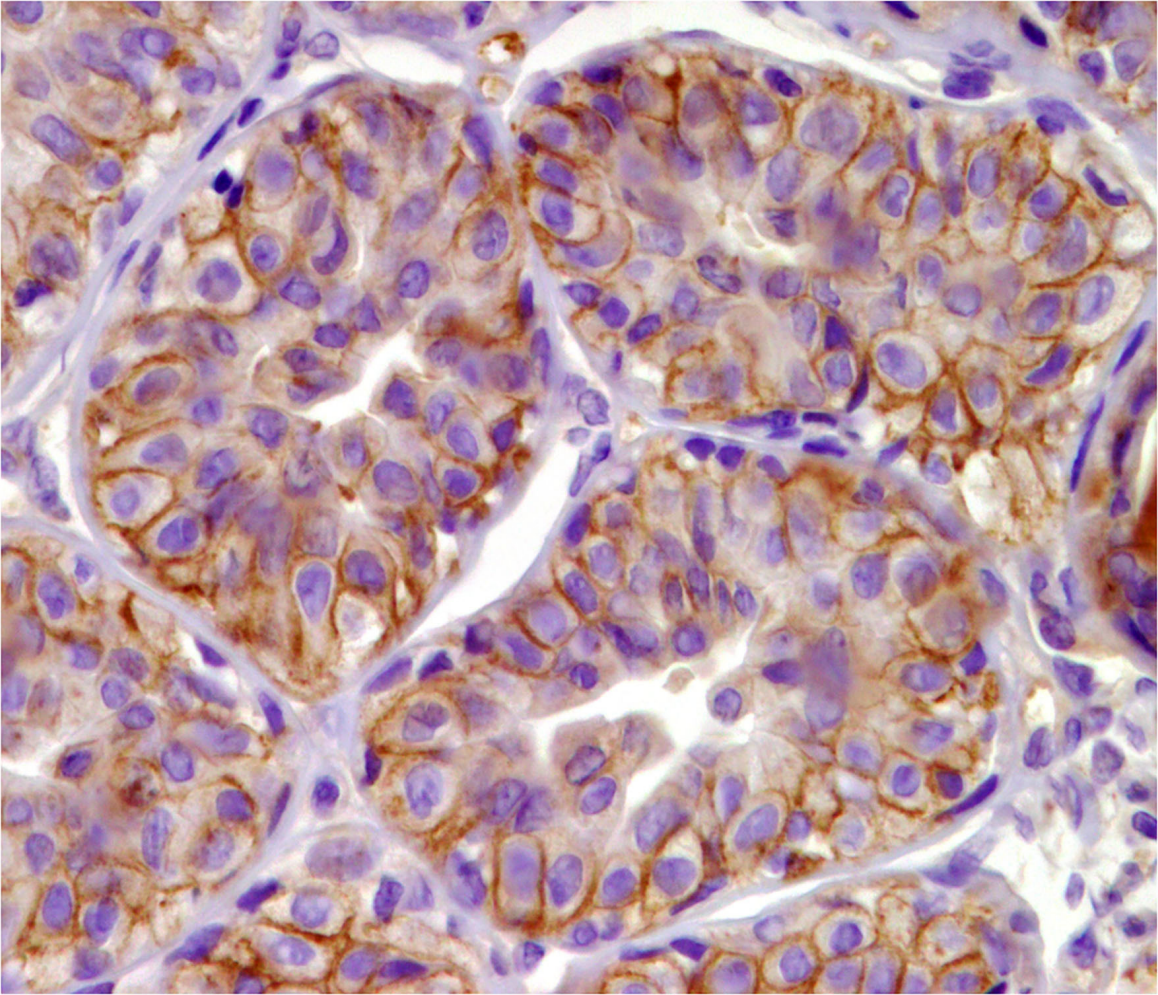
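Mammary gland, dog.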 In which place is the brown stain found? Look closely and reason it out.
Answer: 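Brown lines outline the borders of individual cells. Some cells are ringed all round, others only on part of their border. Nuclei stay blue and unstained.
Conclusion: membranous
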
